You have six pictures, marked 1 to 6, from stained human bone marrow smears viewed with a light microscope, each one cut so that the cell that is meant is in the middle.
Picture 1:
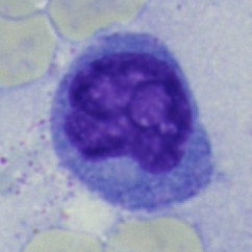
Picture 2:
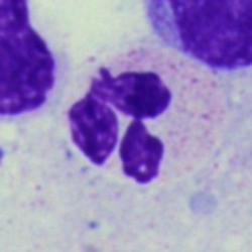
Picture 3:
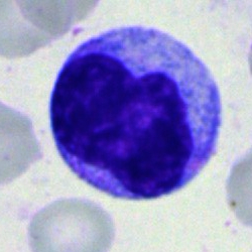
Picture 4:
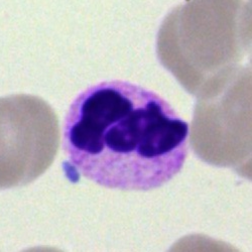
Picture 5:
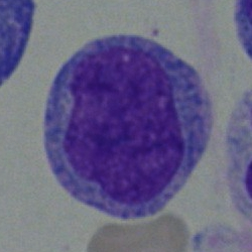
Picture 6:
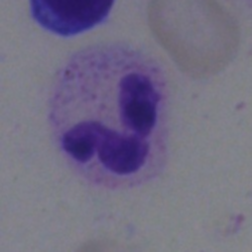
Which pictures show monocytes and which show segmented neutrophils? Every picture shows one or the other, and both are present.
1: monocyte
2: segmented neutrophil
3: monocyte
4: segmented neutrophil
5: monocyte
6: segmented neutrophil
